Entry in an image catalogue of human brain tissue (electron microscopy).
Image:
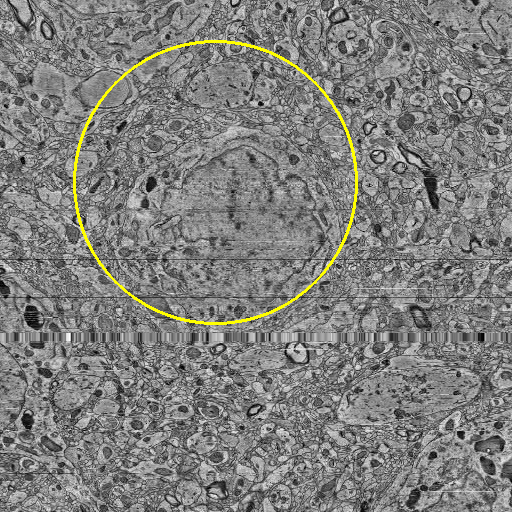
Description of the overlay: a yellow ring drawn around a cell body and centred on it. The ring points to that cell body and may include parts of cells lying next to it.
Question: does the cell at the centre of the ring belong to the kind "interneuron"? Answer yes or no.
yes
